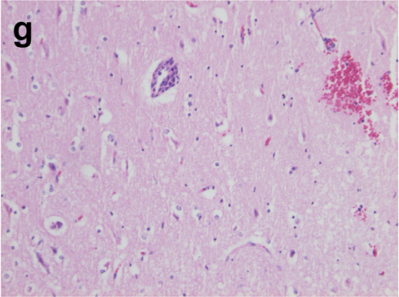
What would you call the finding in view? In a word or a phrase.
extravasated blood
